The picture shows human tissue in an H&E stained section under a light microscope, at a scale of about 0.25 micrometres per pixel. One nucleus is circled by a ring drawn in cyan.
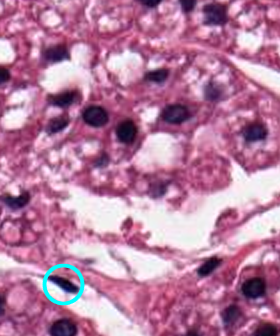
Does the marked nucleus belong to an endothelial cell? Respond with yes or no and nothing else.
yes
